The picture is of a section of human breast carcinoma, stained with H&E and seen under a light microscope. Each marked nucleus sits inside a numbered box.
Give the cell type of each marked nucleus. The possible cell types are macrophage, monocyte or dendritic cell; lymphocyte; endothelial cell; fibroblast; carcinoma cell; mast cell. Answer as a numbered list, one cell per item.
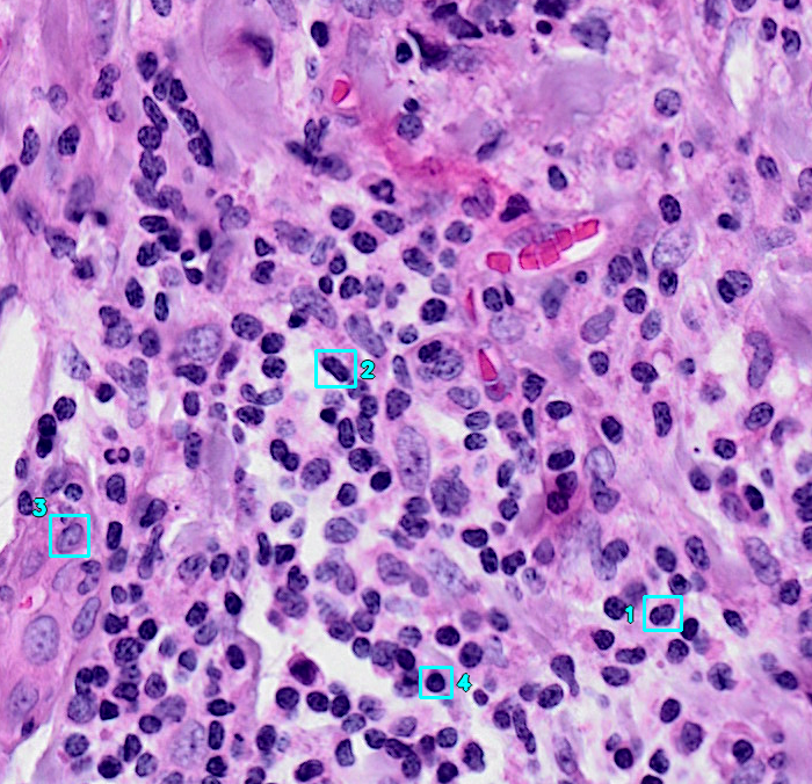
1. lymphocyte
2. lymphocyte
3. endothelial cell
4. lymphocyte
